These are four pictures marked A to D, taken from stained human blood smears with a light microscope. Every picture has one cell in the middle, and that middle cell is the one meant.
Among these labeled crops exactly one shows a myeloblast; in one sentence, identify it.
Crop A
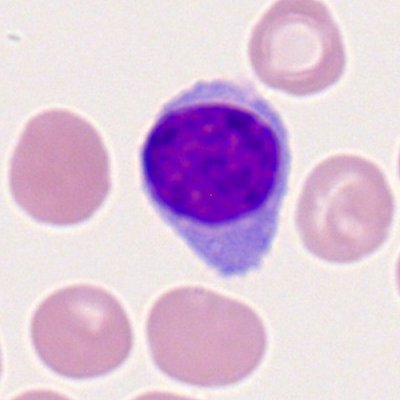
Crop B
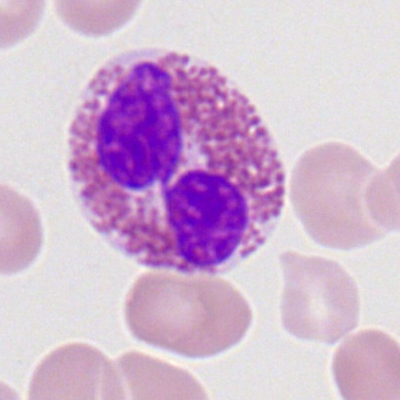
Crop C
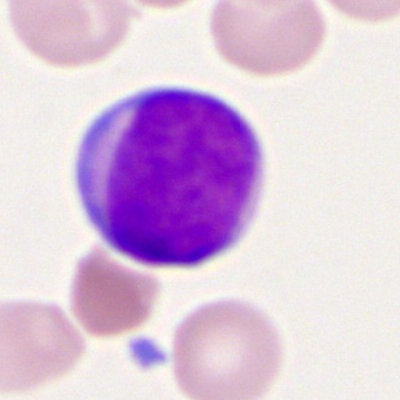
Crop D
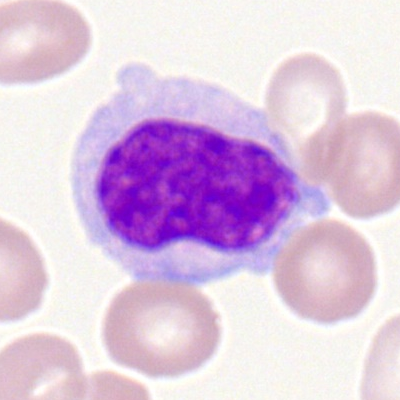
Among the crops provided, a myeloblast occupies the center of crop C.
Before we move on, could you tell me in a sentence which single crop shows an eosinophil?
The crop bearing an eosinophil is crop B.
